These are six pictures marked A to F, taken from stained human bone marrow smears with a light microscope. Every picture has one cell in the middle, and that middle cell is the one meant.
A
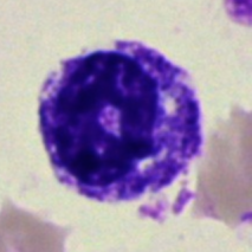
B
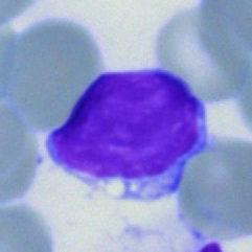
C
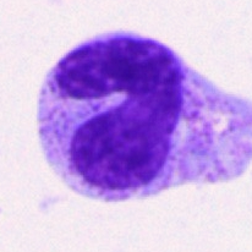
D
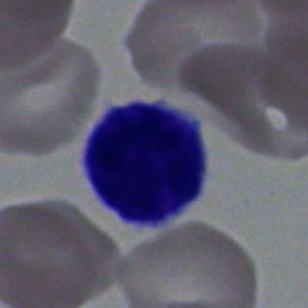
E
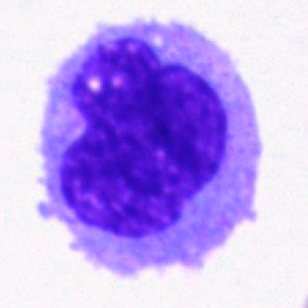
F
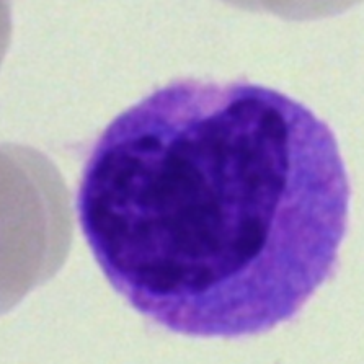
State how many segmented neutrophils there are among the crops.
1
